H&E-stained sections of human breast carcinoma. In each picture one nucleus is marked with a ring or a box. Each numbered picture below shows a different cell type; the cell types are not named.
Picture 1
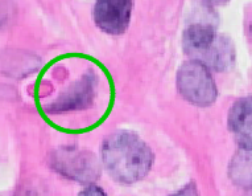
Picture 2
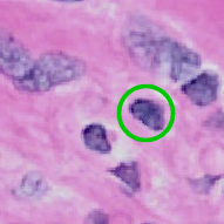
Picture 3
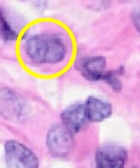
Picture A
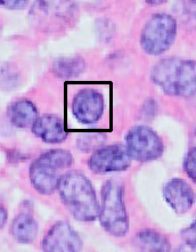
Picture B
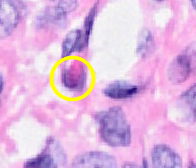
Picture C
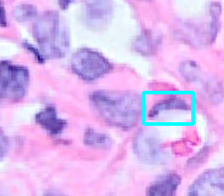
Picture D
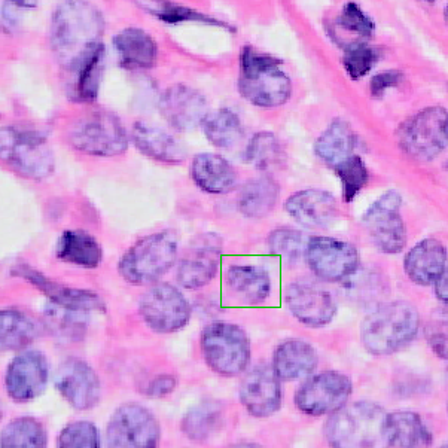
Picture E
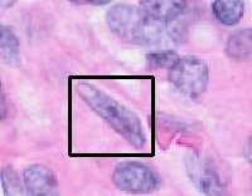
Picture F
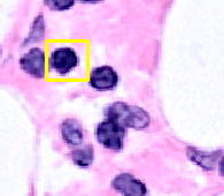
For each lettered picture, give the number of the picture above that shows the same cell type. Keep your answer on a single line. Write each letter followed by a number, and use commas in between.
A 3, B 1, C 1, D 3, E 1, F 2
